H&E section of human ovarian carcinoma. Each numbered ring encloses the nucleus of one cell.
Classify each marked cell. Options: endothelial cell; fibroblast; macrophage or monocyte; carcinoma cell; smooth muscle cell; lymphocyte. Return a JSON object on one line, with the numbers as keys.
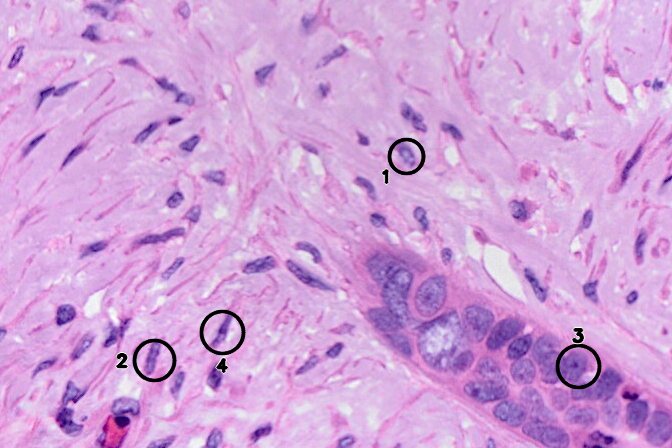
{"1": "fibroblast", "2": "fibroblast", "3": "carcinoma cell", "4": "fibroblast"}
